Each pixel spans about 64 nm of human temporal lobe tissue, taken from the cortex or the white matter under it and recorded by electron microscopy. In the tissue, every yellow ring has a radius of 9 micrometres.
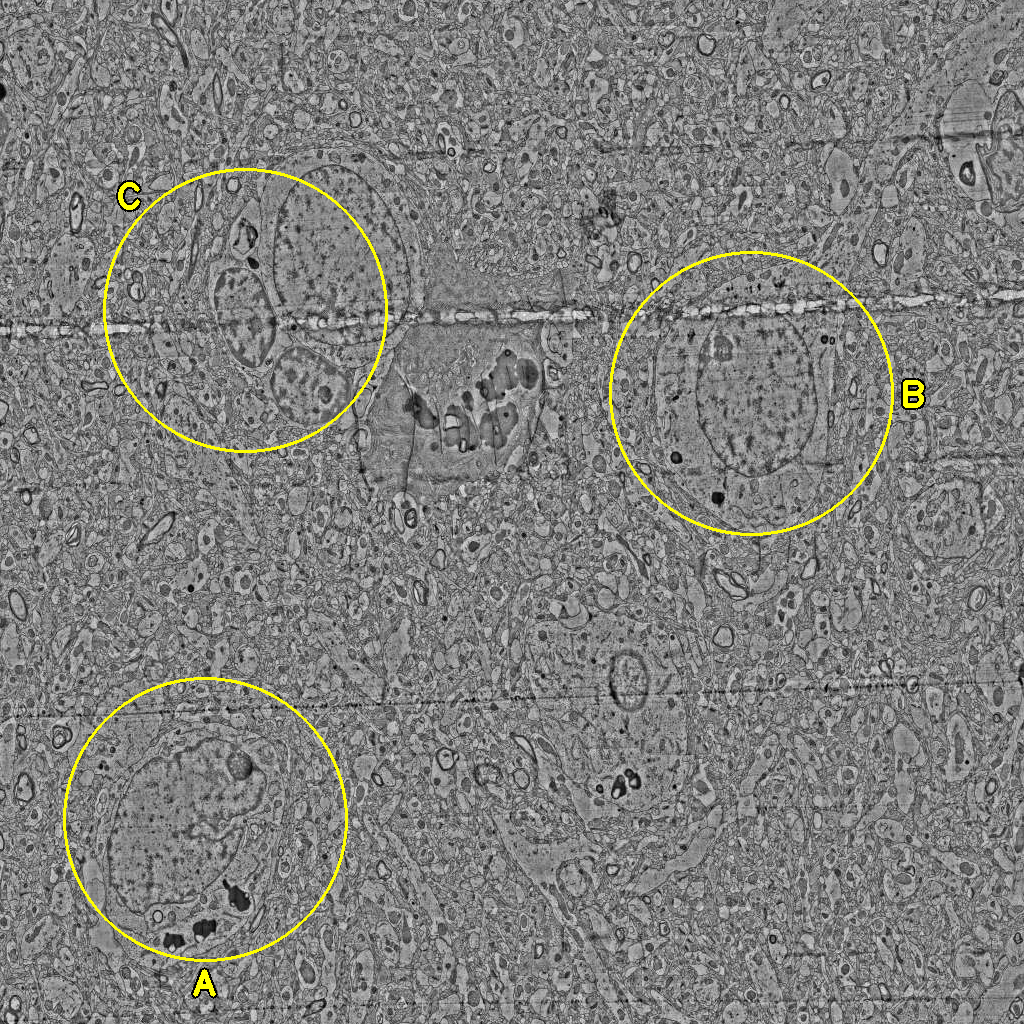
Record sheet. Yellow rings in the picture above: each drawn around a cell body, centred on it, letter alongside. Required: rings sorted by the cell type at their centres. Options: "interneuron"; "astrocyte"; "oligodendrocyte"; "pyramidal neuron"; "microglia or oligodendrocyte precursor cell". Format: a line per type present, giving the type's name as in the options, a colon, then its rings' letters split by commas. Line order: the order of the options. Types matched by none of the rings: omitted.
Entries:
interneuron: A
pyramidal neuron: B
microglia or oligodendrocyte precursor cell: C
